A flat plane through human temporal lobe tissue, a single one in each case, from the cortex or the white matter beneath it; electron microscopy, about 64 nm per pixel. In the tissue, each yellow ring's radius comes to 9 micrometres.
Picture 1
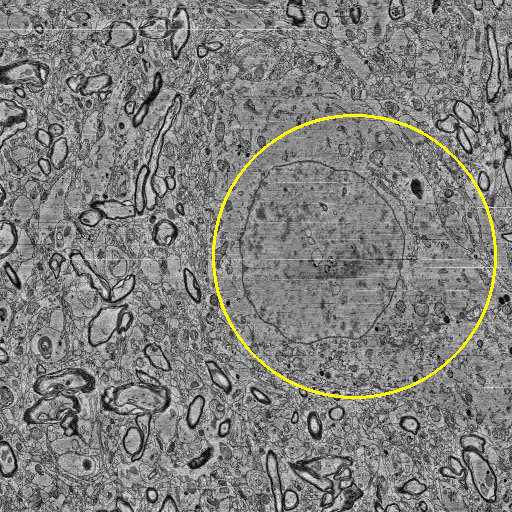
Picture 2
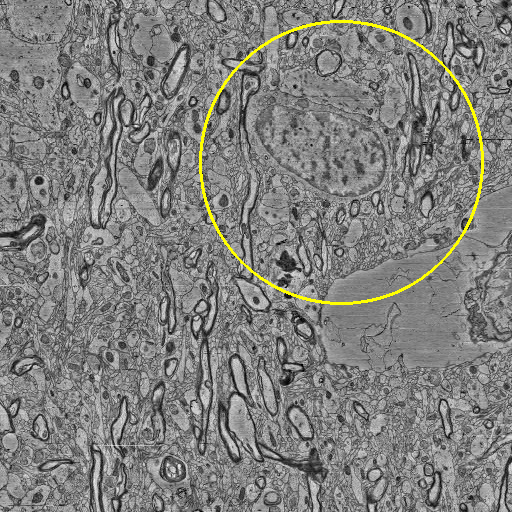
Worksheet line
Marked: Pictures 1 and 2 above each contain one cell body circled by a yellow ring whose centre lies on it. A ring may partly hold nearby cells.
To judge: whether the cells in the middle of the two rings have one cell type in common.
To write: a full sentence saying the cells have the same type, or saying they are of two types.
The cells in the middle of the rings in Picture 1 and Picture 2 are of two types.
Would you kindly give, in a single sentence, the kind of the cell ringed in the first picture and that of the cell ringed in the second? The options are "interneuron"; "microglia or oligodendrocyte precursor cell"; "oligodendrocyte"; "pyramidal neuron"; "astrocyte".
The second cell is an oligodendrocyte, and the first cell is a pyramidal neuron.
